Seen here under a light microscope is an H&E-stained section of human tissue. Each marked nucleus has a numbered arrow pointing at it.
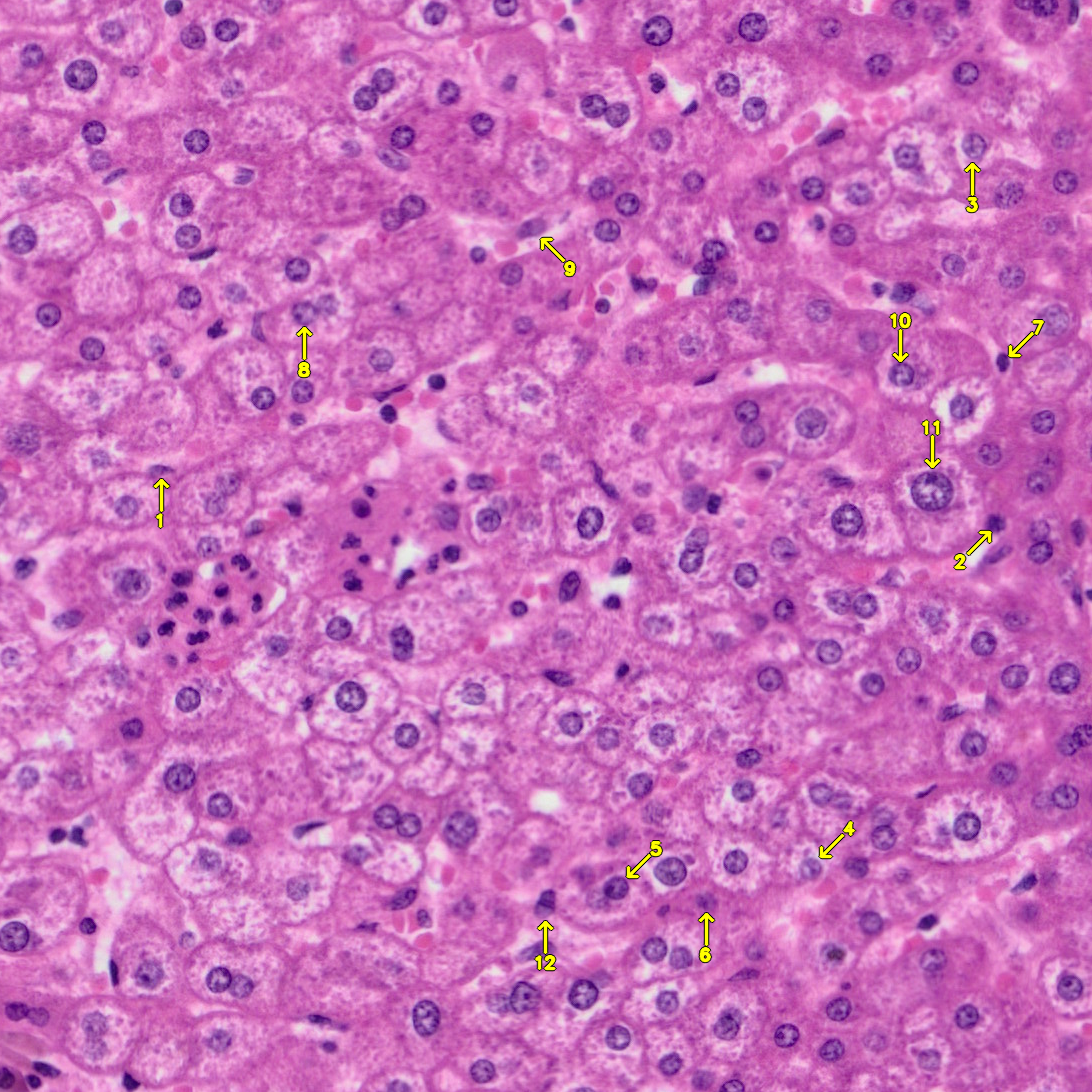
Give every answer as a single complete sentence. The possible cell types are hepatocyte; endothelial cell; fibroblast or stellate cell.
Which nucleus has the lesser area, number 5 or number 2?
With nucleus 5 about 2 times its size, nucleus 2 is the smaller of the two.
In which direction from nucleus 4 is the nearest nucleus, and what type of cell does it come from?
An endothelial cell lies closest, to the right of nucleus 4.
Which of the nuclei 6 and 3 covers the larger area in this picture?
Nucleus 3 covers more area, about 1.5 times as much as nucleus 6.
